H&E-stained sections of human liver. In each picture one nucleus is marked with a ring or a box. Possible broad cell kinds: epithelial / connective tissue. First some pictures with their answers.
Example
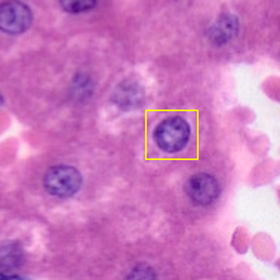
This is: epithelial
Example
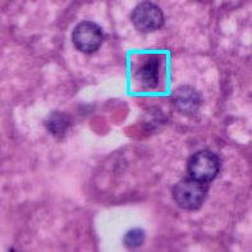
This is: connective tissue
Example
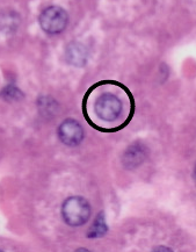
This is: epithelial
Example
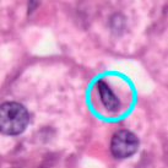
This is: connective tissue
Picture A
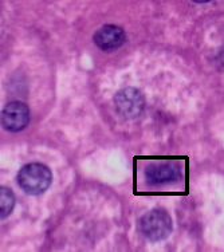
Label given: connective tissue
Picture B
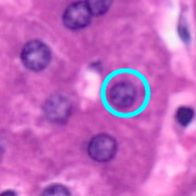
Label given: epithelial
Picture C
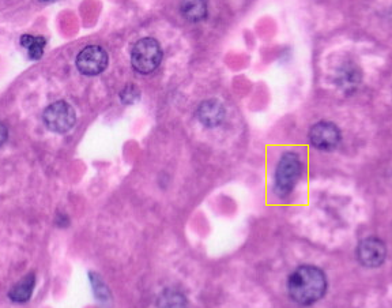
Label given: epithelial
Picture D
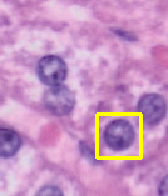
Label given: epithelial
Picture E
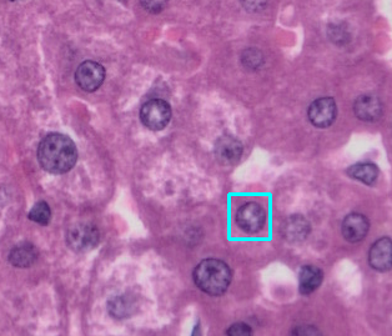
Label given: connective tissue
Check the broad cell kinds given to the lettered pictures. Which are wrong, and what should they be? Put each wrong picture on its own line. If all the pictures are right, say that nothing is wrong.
C: connective tissue, not epithelial
E: epithelial, not connective tissue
